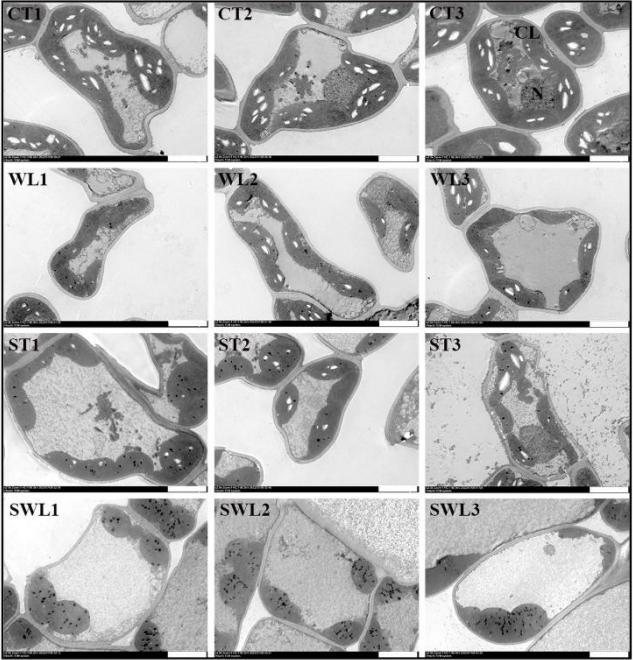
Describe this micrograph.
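Several plant cells are seen in section, each bounded by a pale grey wall and filled mostly by a large, pale central vacuole. Pressed against the walls in a thin peripheral layer of cytoplasm lie dark grey, oval to bean-shaped chloroplasts. Inside many chloroplasts are bright white, lens-shaped starch granules, while others contain small round black dots, the osmiophilic plastoglobuli. In some cells a granular nucleus sits in the cytoplasm beside the chloroplasts. Across the rows the chloroplasts differ, some holding mostly white starch granules and others mostly many black plastoglobuli with little starch.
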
